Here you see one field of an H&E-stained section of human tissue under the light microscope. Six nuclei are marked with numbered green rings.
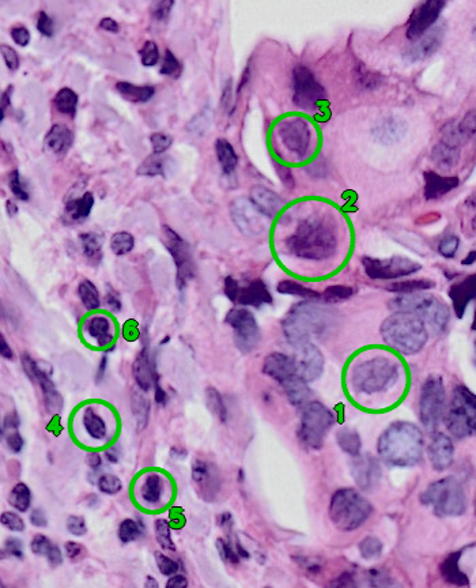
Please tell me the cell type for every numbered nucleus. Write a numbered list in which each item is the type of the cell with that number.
1. carcinoma cell
2. carcinoma cell
3. carcinoma cell
4. lymphocyte
5. lymphocyte
6. lymphocyte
